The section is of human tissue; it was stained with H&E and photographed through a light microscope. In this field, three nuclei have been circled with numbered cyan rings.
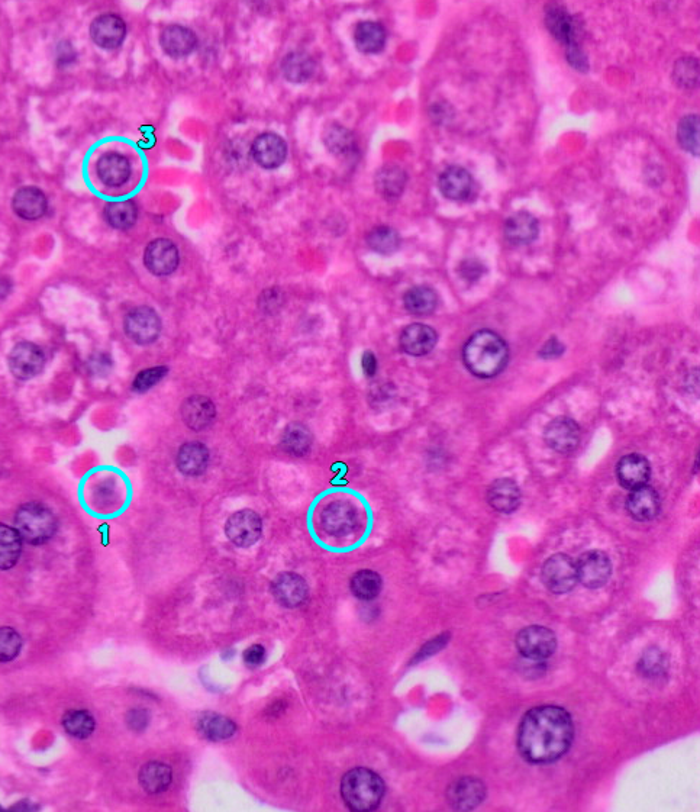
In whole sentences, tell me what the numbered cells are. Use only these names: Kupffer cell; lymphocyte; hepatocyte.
Cell 1 is a Kupffer cell, cell 2 is a hepatocyte and cell 3 is a hepatocyte.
